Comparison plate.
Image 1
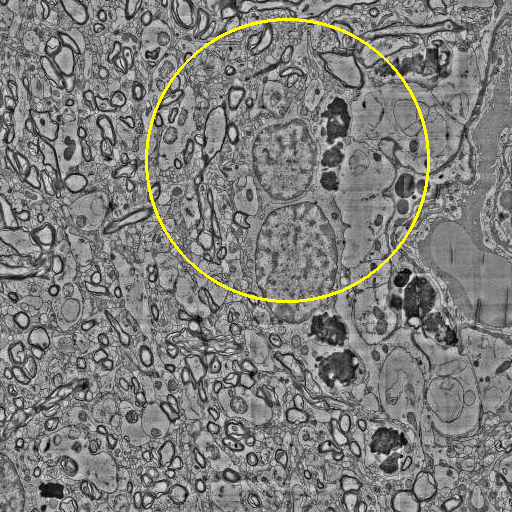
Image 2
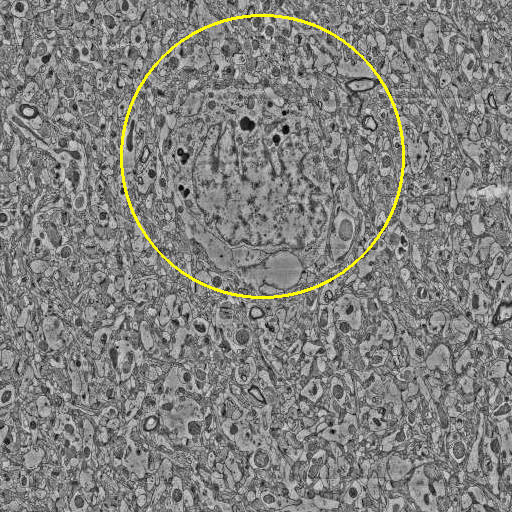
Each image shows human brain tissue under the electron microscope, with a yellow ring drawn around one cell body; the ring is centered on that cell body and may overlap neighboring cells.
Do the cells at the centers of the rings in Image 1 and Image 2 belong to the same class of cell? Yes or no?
no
